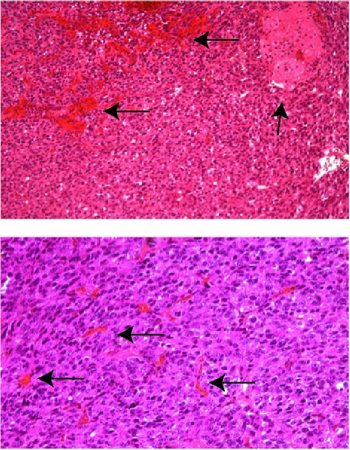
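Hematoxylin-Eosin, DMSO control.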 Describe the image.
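These are sections of a solid tumour made of densely packed cells with purple, oval to elongated nuclei and pink cytoplasm, shown at two magnifications. The cells lie in sheets with little intervening stroma. In the upper image, irregular bright red patches of extravasated red blood cells are scattered through the tissue. At the upper right is a pale pink area that holds few nuclei. In the lower, higher-magnification image, small red streaks and spots of blood lie between the closely packed tumour cells.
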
